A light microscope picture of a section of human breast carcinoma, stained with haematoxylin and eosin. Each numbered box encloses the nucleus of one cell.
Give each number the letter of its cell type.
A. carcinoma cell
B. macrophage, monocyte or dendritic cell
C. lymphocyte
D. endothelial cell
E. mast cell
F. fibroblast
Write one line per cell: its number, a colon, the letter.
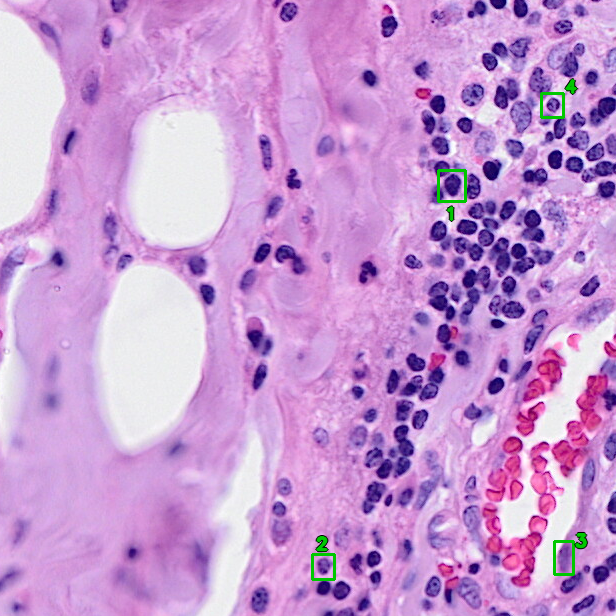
1: C
2: C
3: D
4: C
